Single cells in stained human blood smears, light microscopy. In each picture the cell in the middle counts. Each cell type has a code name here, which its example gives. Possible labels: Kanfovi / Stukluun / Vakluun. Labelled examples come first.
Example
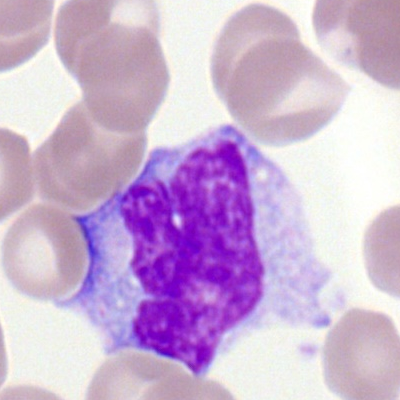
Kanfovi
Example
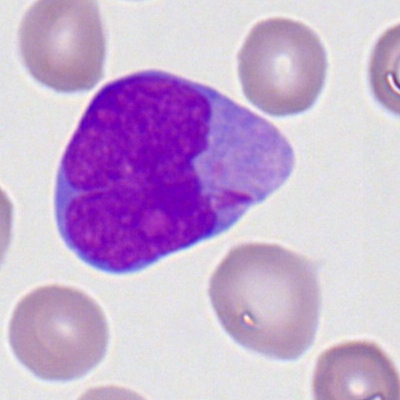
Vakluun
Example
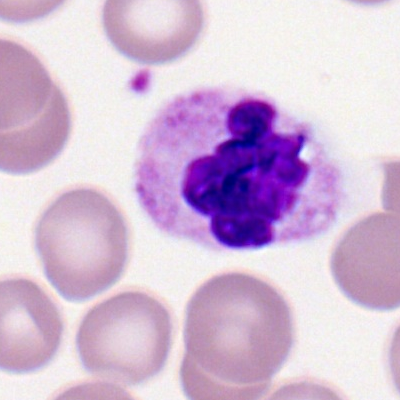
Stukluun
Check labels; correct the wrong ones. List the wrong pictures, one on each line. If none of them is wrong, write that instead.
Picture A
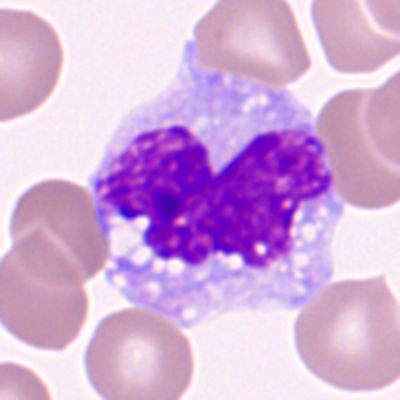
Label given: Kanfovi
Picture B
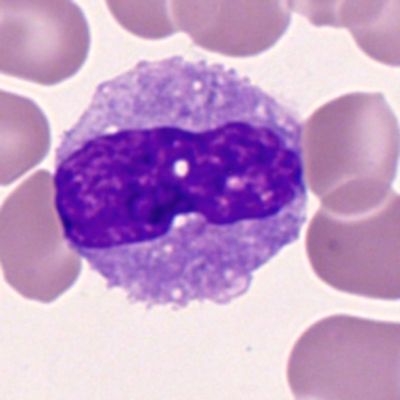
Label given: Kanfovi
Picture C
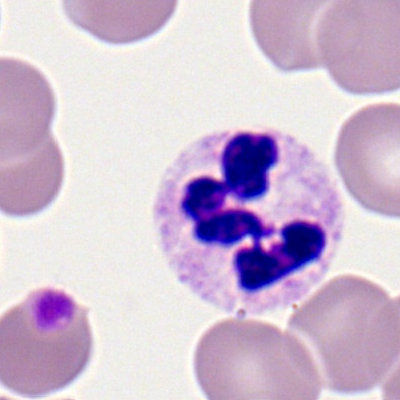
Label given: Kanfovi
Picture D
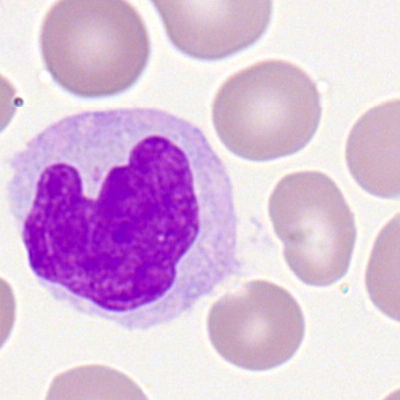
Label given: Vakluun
C: Stukluun, not Kanfovi
D: Kanfovi, not Vakluun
